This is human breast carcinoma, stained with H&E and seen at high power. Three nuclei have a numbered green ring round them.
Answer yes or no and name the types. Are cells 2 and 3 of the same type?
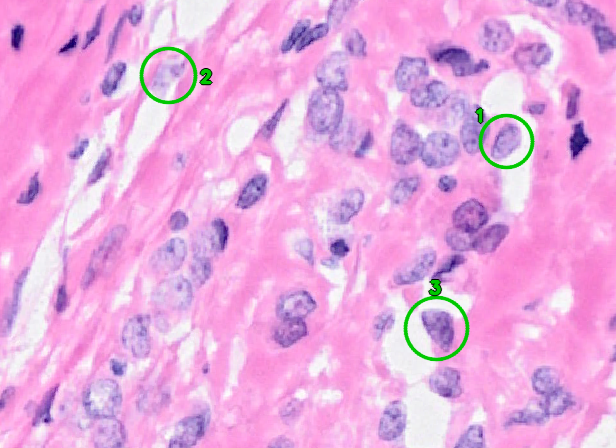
No, cell 3 is a carcinoma cell, and cell 2 is a fibroblast.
